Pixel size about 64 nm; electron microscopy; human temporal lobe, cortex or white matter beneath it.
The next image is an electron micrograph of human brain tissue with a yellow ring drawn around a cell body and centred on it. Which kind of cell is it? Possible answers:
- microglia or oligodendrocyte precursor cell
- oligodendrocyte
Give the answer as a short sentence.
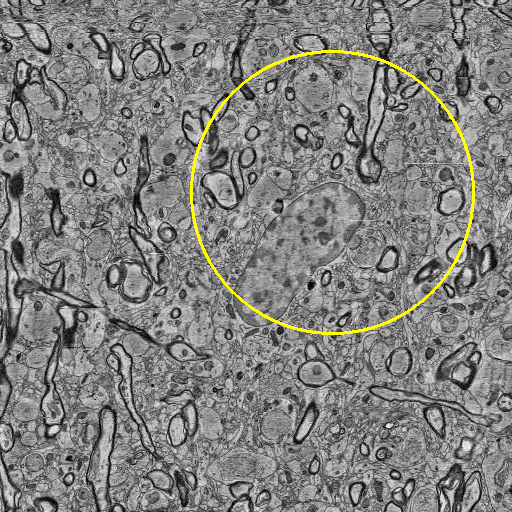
In the ring's centre is a microglial cell or oligodendrocyte precursor cell.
